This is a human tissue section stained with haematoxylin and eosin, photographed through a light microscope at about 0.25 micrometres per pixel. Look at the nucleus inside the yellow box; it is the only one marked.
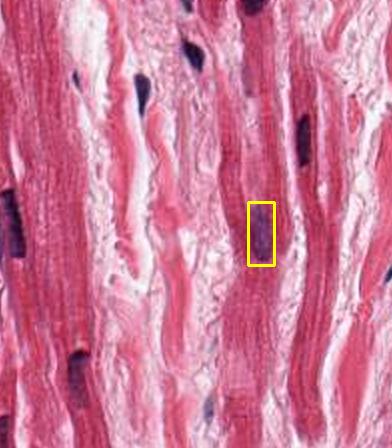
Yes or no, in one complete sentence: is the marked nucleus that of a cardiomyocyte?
Yes, the cell whose nucleus is marked is a cardiomyocyte.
